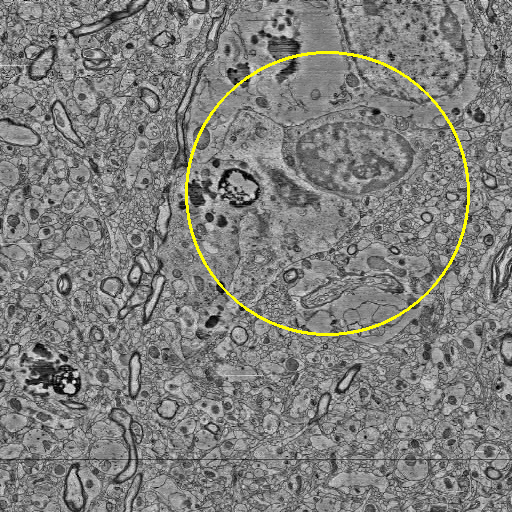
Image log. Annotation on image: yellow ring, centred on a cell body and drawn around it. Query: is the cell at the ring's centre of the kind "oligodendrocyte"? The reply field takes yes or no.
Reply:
yes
